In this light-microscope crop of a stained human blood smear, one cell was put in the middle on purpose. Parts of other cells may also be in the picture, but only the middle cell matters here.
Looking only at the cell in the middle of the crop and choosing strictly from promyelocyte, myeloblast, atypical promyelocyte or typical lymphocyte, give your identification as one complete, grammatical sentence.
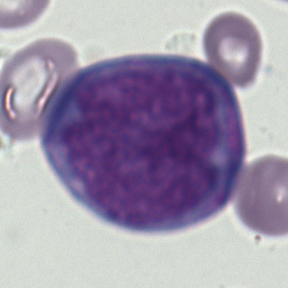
In the center of this field lies a promyelocyte.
